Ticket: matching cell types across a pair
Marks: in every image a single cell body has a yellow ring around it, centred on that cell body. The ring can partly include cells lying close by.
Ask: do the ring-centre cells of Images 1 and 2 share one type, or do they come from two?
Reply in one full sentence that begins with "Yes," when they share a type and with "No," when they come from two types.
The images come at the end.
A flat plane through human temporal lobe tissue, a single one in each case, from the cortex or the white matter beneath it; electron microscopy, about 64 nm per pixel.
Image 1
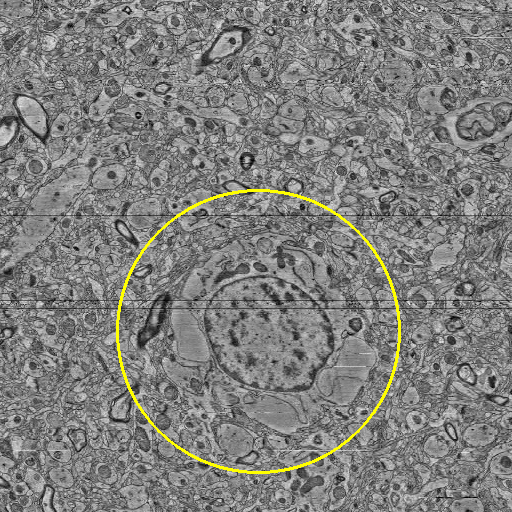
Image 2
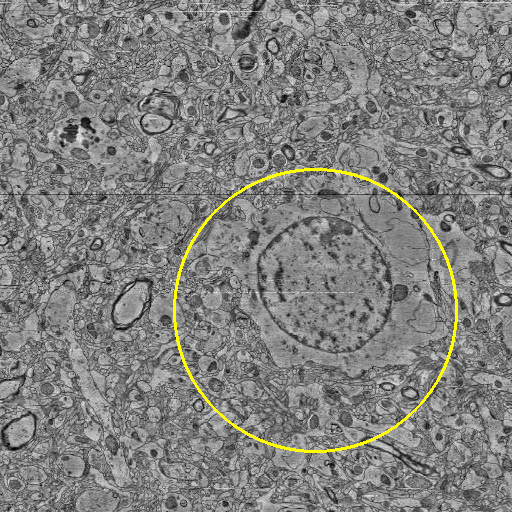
Yes, the cells in the centres of the rings in Image 1 and Image 2 share one type.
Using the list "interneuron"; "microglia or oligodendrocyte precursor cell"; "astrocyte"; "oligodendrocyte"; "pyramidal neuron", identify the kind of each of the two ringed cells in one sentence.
The first and the second cell are each an astrocyte.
